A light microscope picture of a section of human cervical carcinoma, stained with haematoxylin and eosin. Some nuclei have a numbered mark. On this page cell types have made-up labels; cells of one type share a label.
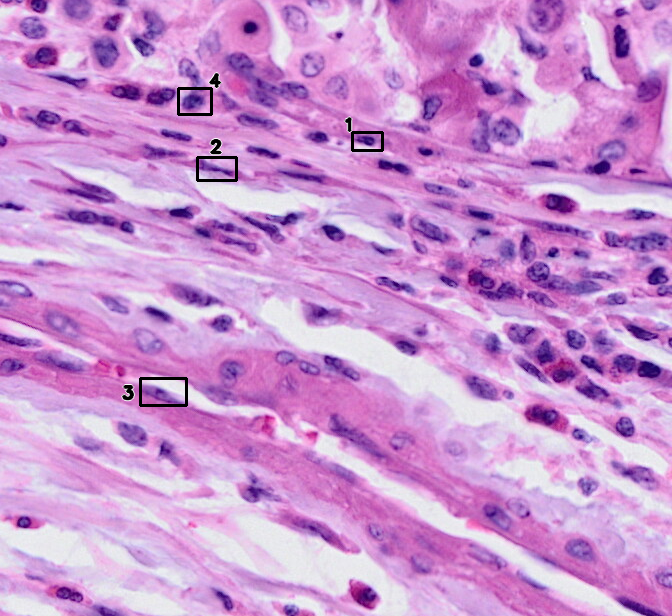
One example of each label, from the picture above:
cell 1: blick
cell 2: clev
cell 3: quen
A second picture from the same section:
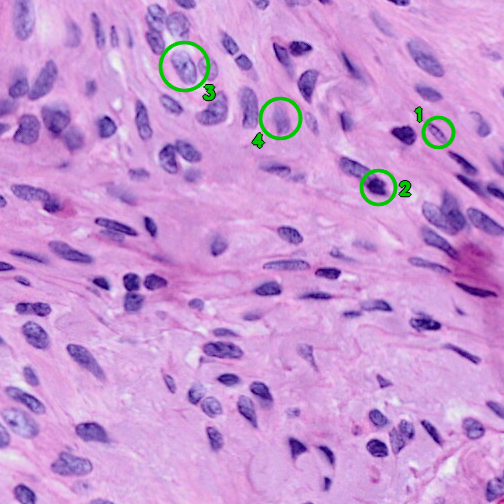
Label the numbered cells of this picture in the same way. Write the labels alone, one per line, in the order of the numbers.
clev
blick
quen
clev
